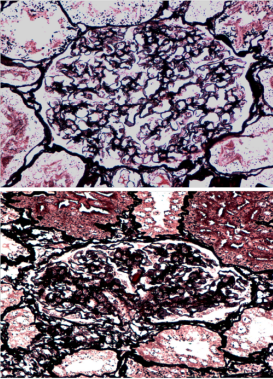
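In the upper image a fine black network of capillary loops fills the rounded tuft, and the surrounding tubules are outlined by thin black membranes. In the lower image the black outlines are thicker and more crowded around the glomerulus, and the tubules nearby look distorted, with pale spaces among them.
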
